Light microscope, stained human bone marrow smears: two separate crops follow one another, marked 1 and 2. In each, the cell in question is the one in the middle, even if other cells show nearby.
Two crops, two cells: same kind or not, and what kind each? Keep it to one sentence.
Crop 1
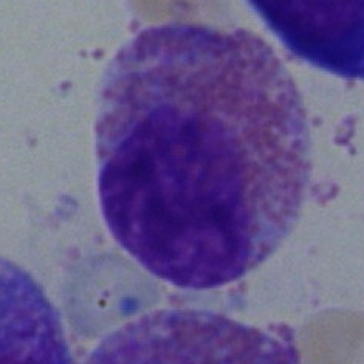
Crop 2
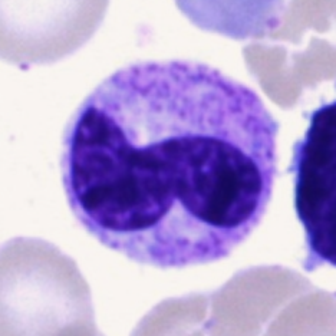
No, crop 1 shows an eosinophil, with a band neutrophil shown in crop 2.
